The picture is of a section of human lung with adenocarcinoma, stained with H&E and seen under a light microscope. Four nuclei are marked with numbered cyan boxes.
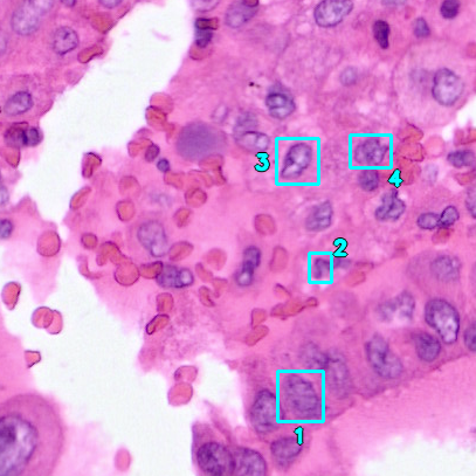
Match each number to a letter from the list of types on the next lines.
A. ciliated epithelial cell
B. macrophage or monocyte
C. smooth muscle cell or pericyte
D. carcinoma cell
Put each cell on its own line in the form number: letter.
1: D
2: B
3: B
4: B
